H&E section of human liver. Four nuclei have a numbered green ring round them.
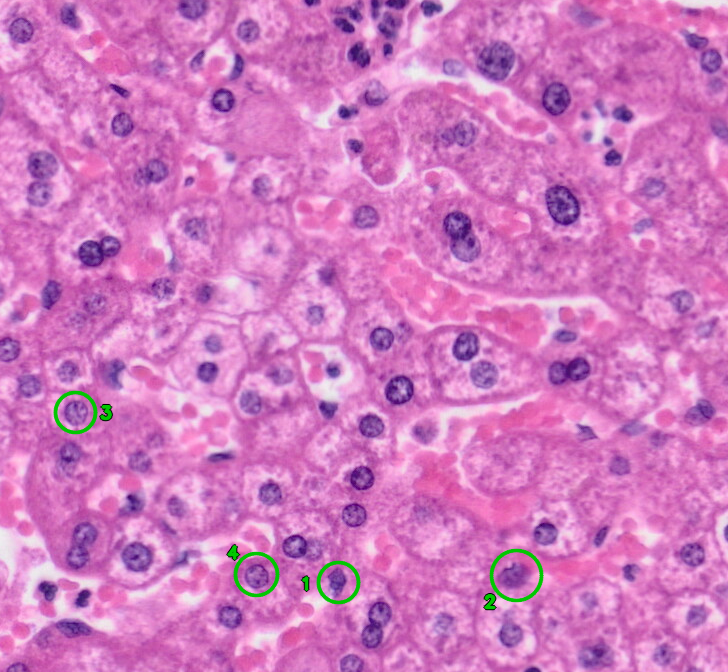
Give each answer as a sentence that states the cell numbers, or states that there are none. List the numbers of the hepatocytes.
In terms of cell type, cells 3 and 4 are hepatocytes.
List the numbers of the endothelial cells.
Nothing but cell 2 is an endothelial cell among the numbered ones.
